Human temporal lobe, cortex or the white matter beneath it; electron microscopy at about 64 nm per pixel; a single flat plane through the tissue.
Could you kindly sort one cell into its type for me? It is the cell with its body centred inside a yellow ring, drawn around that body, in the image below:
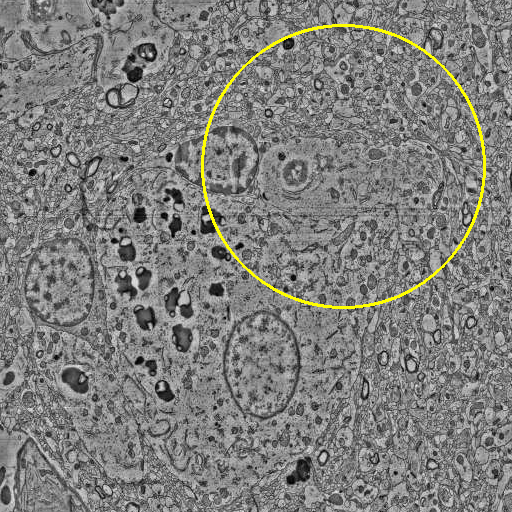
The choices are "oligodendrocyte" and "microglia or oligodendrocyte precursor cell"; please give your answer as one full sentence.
The cell whose body lies centred in the yellow ring here is a microglial cell or oligodendrocyte precursor cell.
